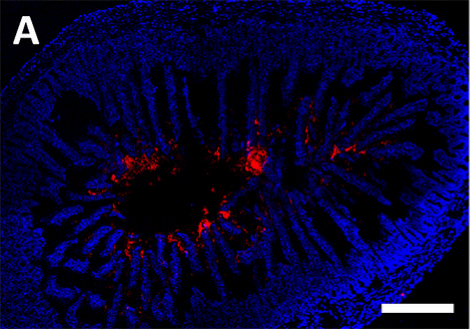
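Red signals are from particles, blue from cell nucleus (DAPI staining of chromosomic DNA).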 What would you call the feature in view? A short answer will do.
Villi.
